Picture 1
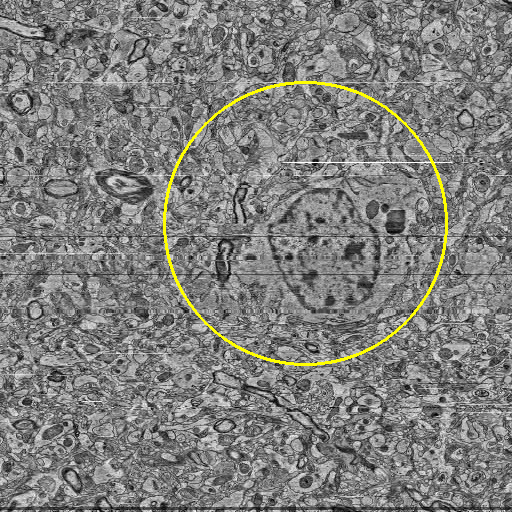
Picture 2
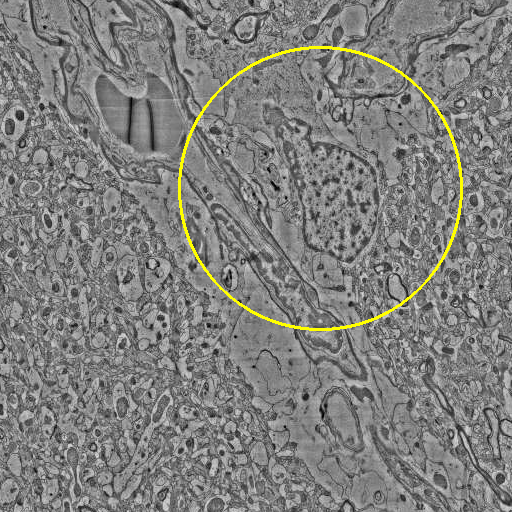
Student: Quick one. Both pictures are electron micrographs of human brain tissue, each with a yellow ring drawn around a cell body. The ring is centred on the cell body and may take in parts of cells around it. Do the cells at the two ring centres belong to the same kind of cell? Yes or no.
no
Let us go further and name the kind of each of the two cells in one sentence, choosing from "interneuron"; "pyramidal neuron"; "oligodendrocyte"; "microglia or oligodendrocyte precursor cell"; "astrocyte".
The ring of the first picture is on an astrocyte, the ring of the second on a microglial cell or oligodendrocyte precursor cell.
